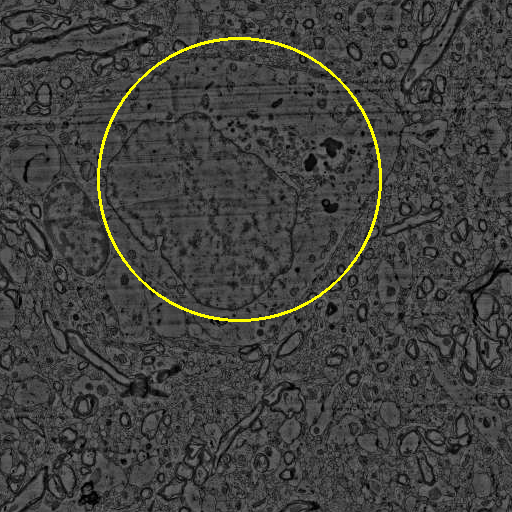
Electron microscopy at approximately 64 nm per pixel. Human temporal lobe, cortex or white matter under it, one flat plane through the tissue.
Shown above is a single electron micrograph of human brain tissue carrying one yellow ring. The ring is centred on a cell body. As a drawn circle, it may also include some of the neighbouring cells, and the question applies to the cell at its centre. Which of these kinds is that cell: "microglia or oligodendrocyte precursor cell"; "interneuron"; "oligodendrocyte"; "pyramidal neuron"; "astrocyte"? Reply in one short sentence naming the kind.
The cell marked by the ring is a pyramidal neuron.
